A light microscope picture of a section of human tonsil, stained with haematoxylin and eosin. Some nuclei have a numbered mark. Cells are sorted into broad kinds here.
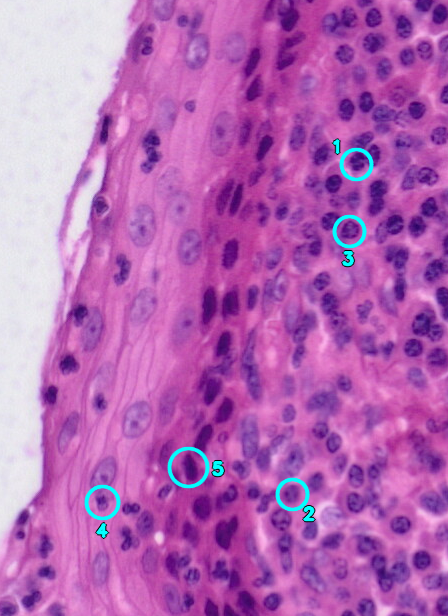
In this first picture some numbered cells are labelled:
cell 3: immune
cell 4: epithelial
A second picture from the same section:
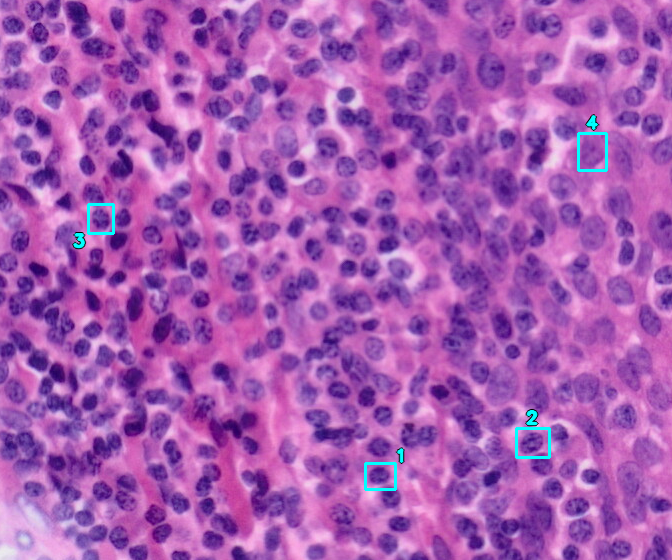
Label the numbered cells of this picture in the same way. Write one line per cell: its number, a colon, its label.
1: immune
2: immune
3: immune
4: epithelial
